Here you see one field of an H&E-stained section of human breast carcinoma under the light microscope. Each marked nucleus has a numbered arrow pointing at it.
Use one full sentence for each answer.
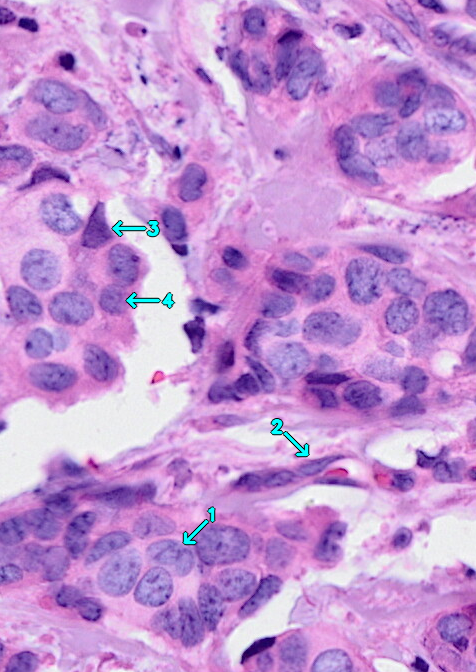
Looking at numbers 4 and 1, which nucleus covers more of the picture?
Nucleus 1 covers more area, about 1.5 times as much as nucleus 4.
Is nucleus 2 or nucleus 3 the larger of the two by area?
At about 2 times the area of nucleus 2, nucleus 3 is the larger of the two.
